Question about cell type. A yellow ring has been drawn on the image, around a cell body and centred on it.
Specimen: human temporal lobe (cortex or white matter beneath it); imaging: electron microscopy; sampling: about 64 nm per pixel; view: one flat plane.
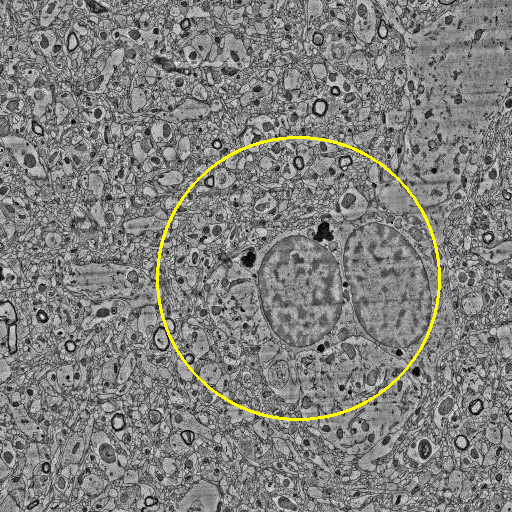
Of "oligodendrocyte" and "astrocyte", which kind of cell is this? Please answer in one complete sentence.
At the centre of the ring lies an oligodendrocyte.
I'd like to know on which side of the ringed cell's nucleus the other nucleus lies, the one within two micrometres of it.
The other nucleus appears to the upper right of it.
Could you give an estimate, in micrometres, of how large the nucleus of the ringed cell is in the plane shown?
About 7 micrometres by about 6 micrometres in this plane.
